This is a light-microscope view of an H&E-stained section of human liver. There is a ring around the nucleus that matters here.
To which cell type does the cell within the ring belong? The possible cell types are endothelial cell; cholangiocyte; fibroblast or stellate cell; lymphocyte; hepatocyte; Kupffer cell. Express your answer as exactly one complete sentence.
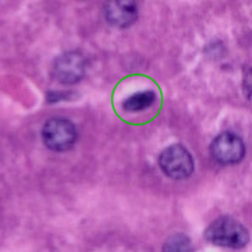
In this section of tissue, the cell within the ring is a lymphocyte.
